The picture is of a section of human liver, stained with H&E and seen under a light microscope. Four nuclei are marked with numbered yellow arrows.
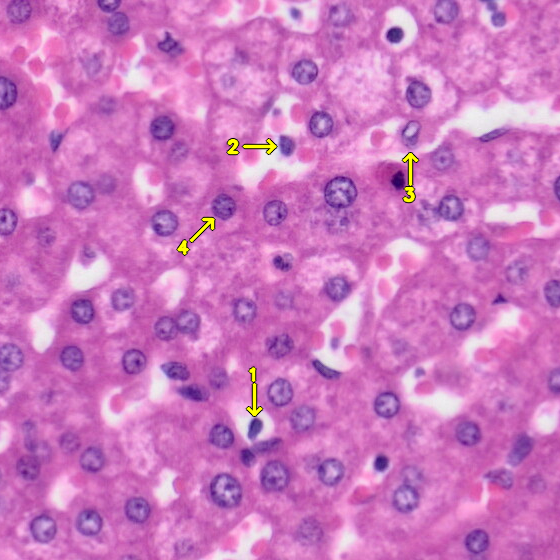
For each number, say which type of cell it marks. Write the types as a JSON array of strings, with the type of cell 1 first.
["lymphocyte", "lymphocyte", "Kupffer cell", "hepatocyte"]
